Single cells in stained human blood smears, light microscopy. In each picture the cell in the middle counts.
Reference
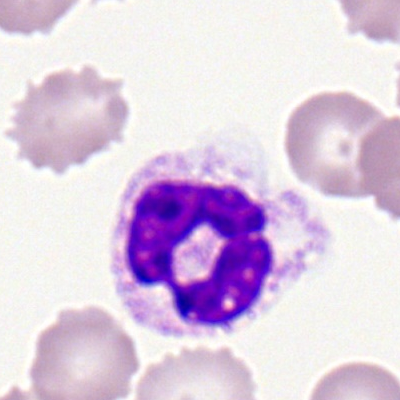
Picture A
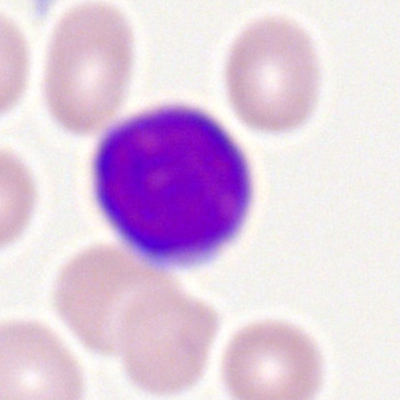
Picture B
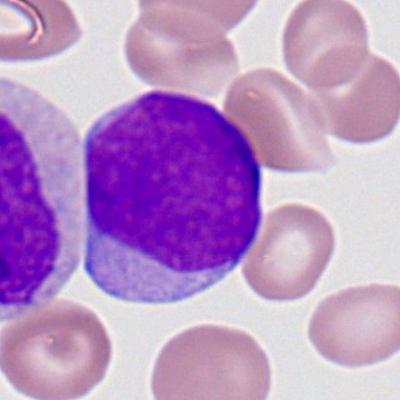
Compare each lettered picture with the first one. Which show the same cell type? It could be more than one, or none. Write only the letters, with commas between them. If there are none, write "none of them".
none of them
